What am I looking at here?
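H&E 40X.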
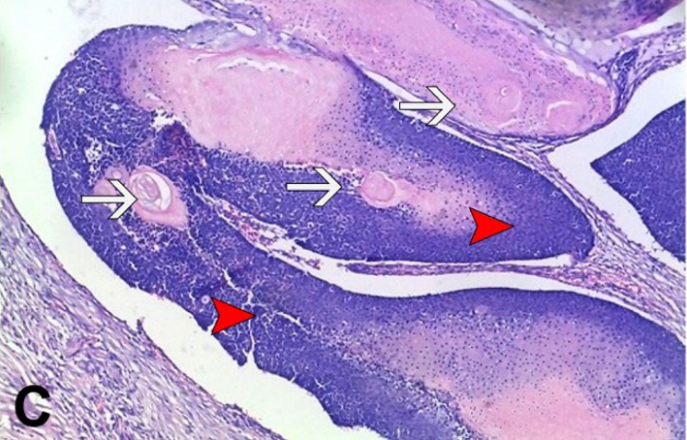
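These are elongated islands of small basaloid epithelial cells, forming a dense dark blue layer of crowded round nuclei with scant cytoplasm. Within the islands there are small round pink whorls of keratin, some with concentric layers. The islands are separated by clefts from a thin band of loose pink stroma at the edges.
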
